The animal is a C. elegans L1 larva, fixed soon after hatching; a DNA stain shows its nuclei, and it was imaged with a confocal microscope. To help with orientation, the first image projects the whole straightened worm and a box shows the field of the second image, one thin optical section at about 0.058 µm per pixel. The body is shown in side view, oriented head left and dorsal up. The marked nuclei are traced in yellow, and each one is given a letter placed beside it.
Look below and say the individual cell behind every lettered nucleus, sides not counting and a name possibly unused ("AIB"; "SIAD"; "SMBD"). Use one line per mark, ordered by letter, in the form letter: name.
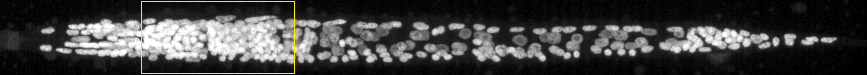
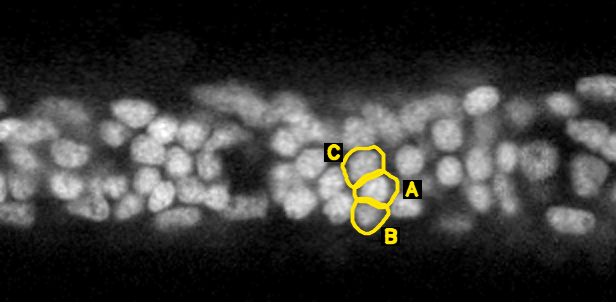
A: SIAD
B: SMBD
C: AIB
